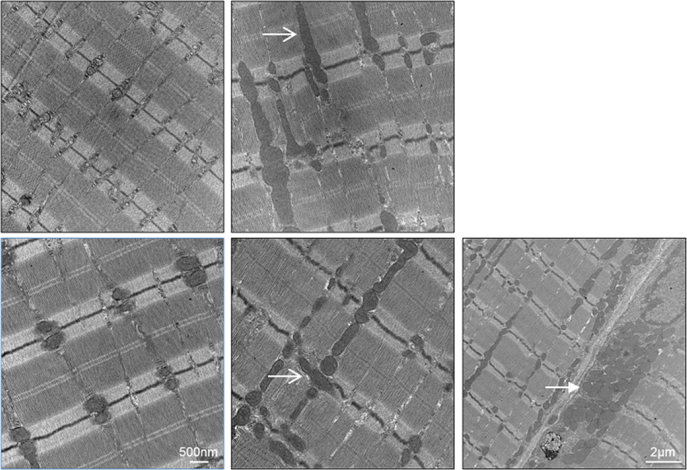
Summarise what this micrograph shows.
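Longitudinal sections of skeletal muscle fibres show regularly striated myofibrils with repeating dark lines and bands, and mitochondria lying between them. In the low-magnification image a dense cluster of many mitochondria lies at the edge of a fibre, just beneath its boundary.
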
